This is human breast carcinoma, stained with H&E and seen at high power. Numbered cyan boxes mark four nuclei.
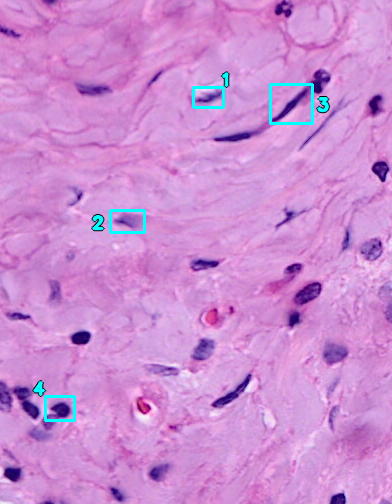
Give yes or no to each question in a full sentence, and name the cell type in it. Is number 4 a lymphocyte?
Yes, the cell with its nucleus marked 4 is a lymphocyte.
